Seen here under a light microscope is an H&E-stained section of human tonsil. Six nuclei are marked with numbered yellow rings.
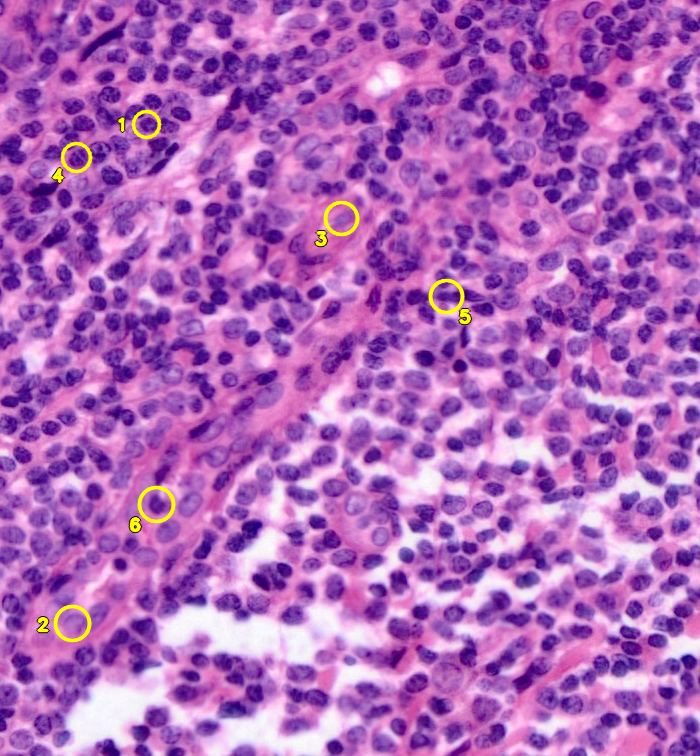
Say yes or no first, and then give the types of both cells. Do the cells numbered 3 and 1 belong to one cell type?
No, cell 3 is an endothelial cell; as for cell 1, that one is a small lymphocyte.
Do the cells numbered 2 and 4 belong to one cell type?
No, cell 2 is an endothelial cell, and as for cell 4, it is a plasma cell.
